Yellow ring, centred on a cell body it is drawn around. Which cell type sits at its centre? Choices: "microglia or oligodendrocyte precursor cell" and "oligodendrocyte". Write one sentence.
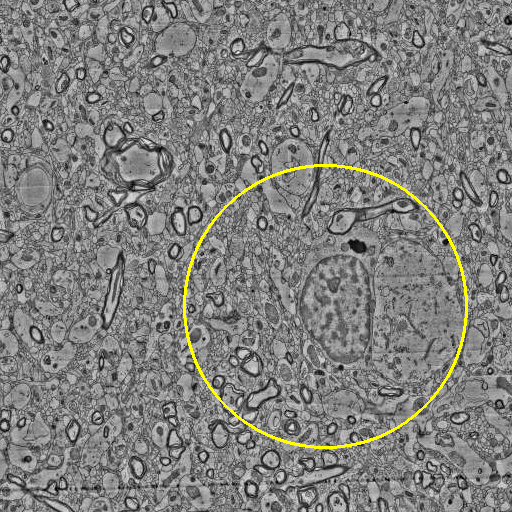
At the centre of the ring sits an oligodendrocyte.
